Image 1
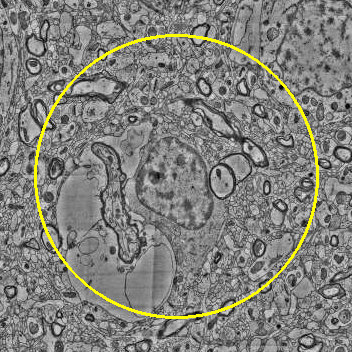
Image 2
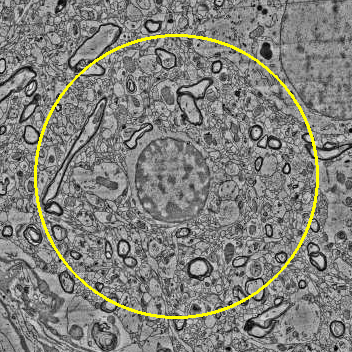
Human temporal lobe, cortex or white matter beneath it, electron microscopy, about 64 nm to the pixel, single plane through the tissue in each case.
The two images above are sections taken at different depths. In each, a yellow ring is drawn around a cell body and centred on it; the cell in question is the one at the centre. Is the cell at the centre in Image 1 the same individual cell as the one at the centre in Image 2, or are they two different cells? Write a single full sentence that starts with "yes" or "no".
No, these yellow rings each mark a separate cell.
